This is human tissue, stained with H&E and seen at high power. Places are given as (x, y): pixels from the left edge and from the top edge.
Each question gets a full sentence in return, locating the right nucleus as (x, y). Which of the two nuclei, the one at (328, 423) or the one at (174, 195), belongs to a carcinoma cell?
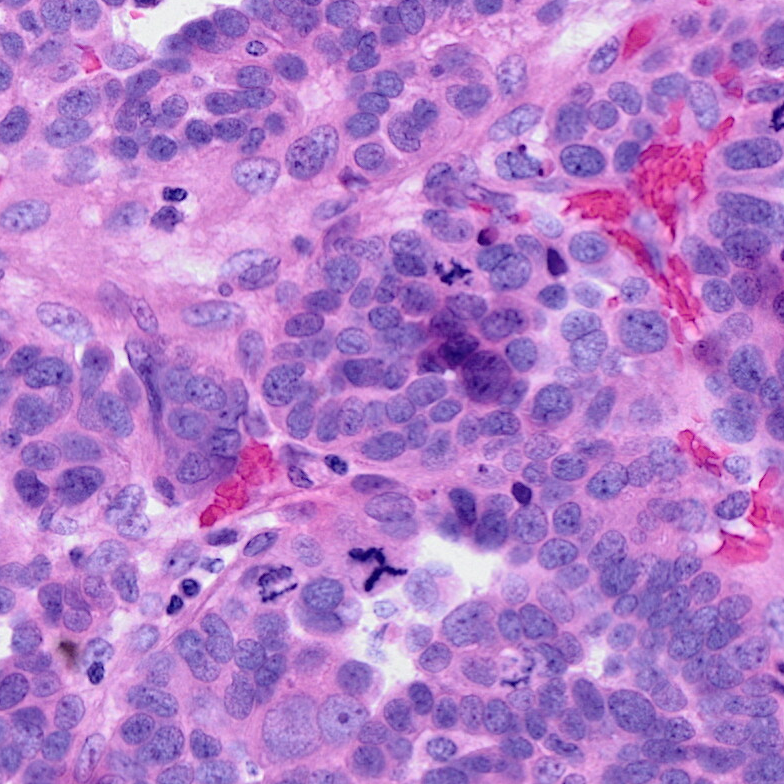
In this pair, the nucleus at (328, 423) belongs to a carcinoma cell.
